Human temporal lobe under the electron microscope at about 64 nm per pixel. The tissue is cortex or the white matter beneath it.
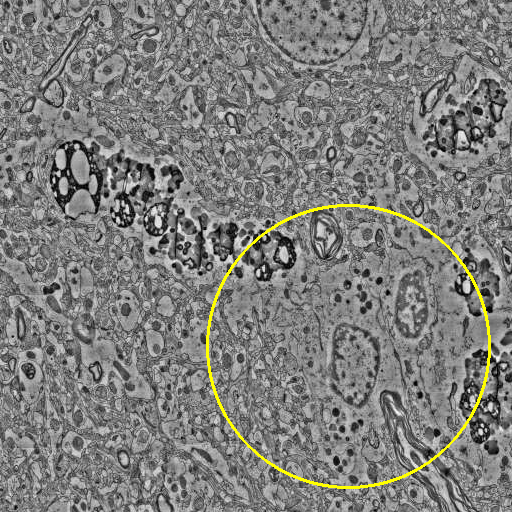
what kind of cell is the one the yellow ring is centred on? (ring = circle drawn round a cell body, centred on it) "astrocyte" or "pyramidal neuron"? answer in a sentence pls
The ring is drawn around an astrocyte.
